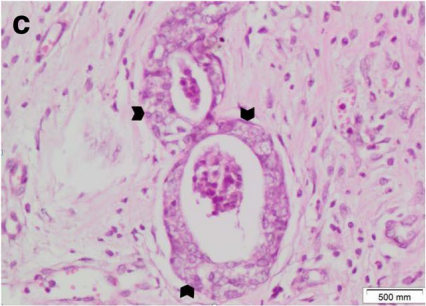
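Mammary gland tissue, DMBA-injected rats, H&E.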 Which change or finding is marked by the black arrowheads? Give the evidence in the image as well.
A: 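Ducts lined by several layers of crowded atypical cells. Cells stay within rounded duct outlines in stroma.
Conclusion: Intraductal carcinoma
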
